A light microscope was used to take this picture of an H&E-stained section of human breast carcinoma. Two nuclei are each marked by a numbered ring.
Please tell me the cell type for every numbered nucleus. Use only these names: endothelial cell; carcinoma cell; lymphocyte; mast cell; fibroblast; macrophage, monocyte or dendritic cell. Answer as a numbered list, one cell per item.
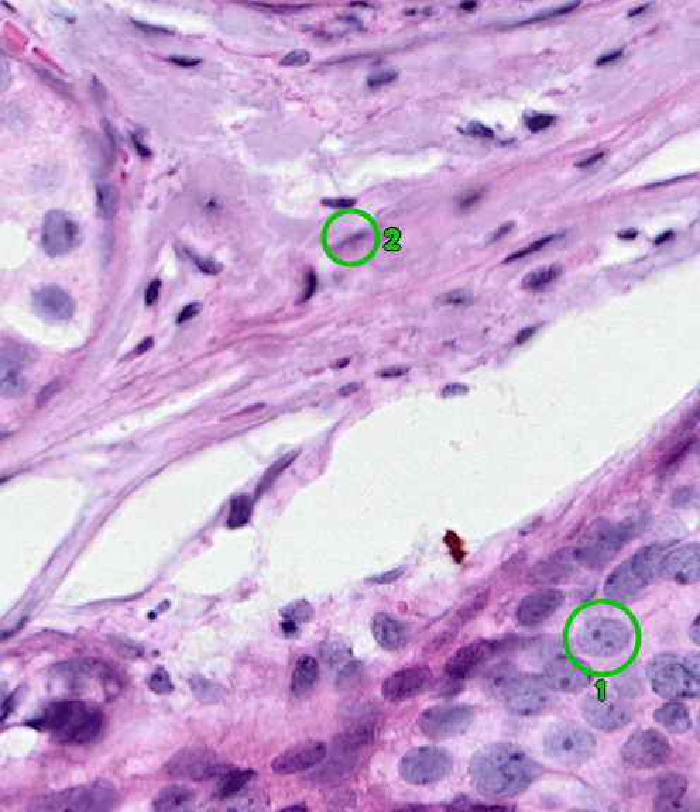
1. carcinoma cell
2. fibroblast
